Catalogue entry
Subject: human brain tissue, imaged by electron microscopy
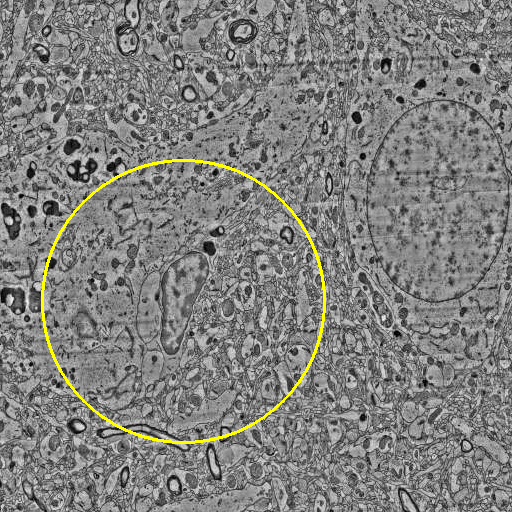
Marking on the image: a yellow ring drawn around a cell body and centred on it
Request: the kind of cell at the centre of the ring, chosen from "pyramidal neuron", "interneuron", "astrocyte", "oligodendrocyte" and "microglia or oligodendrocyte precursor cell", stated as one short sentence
The ring has a microglial cell or oligodendrocyte precursor cell at its centre.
